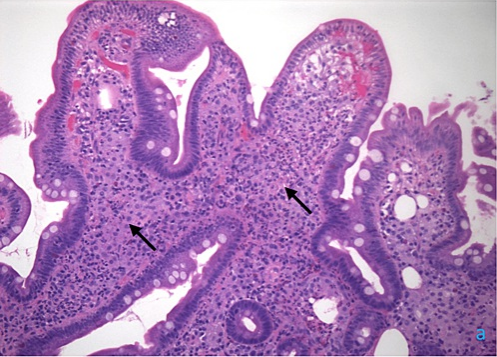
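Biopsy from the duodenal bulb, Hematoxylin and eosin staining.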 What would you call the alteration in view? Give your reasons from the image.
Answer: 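The villi are broad and blunt. The cores of the villi are filled with densely packed cells. The epithelium covers only a thin rim around wide stromal cores. The answer: expansion of lamina propria.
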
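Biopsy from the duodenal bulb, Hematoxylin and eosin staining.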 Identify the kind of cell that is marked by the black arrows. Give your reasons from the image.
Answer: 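The arrows point into the stroma between the villi, not at the epithelium. The stroma there is crowded with cells that have pale, finely vacuolated pink cytoplasm. These cells are larger than the surrounding lymphoid cells and have rounded nuclei.
Hence: foamy macrophages.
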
